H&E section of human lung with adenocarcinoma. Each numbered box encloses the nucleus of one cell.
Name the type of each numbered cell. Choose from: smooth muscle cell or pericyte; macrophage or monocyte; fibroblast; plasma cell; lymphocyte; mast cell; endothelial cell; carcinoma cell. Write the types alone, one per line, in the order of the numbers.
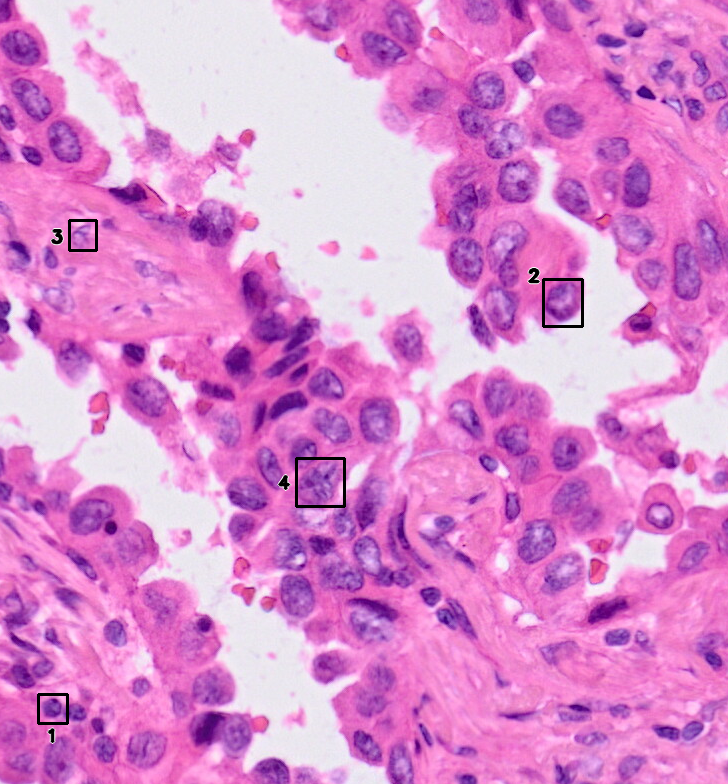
lymphocyte
carcinoma cell
fibroblast
carcinoma cell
